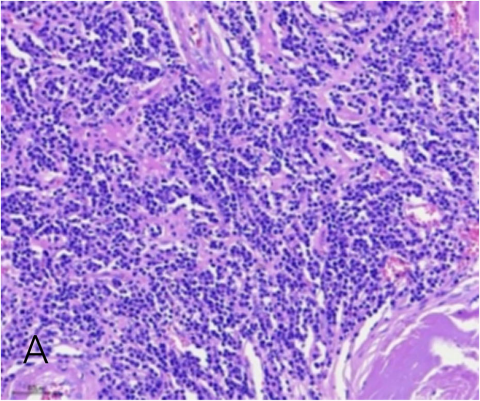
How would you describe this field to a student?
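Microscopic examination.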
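Dense diffuse infiltrate of small lymphoid cells fills the tissue. The cells have round, dark purple nuclei and scant cytoplasm. The cells lie in sheets and cords separated by thin pink fibrous strands. At the lower right lies pale pink, largely acellular hyalinized material.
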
